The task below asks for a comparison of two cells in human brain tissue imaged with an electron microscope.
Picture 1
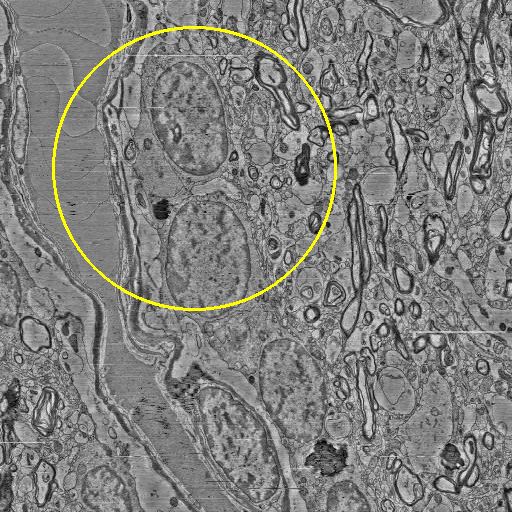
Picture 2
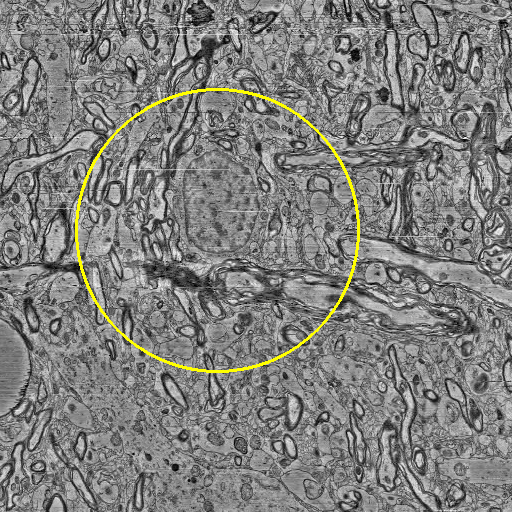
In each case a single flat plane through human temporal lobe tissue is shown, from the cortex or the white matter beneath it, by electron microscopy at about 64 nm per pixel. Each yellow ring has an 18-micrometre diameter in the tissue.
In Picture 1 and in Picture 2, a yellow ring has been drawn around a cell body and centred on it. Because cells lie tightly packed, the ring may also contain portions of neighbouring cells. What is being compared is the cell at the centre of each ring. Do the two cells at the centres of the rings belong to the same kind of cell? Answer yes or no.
yes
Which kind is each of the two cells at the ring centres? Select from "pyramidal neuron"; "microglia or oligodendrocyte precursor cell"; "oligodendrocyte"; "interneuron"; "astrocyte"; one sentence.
Each cell at the centre of a ring is an oligodendrocyte.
